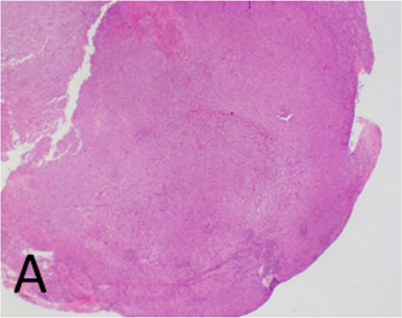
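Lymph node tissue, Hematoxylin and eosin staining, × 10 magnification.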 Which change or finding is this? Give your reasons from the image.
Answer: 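The node is filled by a sheet of tissue without follicles. No normal compartments are discernible at low power. The answer: diffuse effacement of the architecture.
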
